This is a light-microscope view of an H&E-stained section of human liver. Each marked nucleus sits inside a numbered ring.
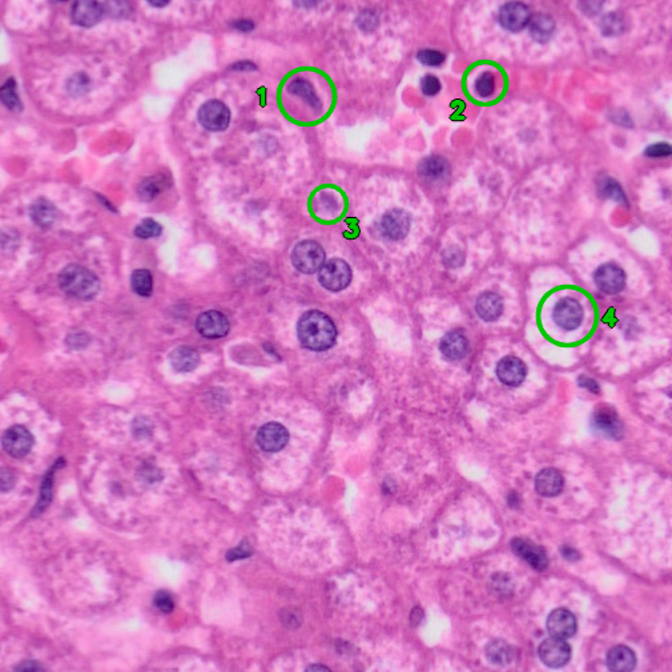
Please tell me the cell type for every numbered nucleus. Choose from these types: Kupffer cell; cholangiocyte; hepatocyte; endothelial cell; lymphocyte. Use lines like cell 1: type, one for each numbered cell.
cell 1: Kupffer cell
cell 2: lymphocyte
cell 3: hepatocyte
cell 4: hepatocyte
